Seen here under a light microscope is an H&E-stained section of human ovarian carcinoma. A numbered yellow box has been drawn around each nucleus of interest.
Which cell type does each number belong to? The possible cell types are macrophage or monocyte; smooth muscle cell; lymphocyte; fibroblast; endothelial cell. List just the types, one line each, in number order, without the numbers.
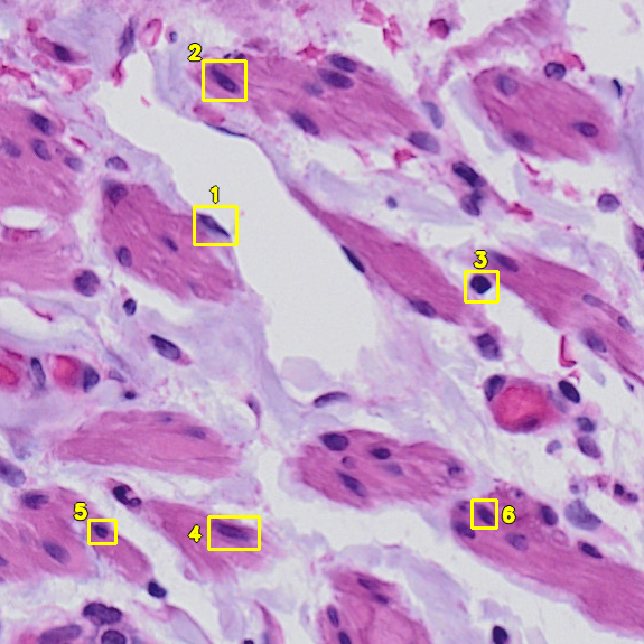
endothelial cell
smooth muscle cell
lymphocyte
smooth muscle cell
smooth muscle cell
smooth muscle cell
